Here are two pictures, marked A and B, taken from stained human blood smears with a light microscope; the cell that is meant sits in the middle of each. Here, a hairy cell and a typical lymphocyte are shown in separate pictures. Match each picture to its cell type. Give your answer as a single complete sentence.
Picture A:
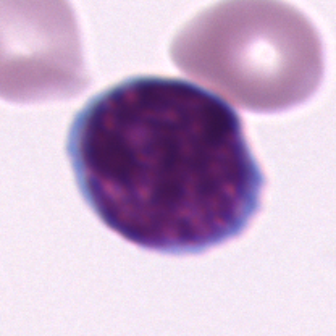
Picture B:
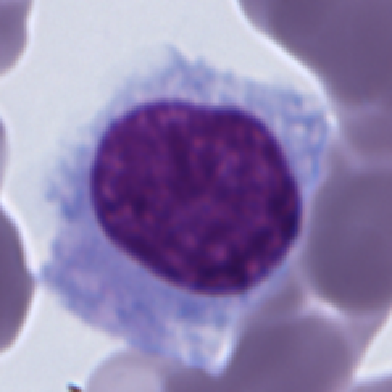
The cell in picture A is a typical lymphocyte, and the one in picture B is a hairy cell.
